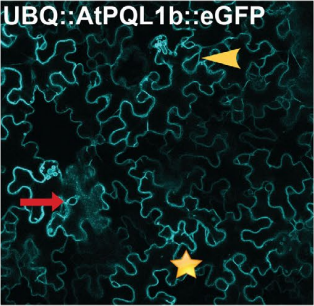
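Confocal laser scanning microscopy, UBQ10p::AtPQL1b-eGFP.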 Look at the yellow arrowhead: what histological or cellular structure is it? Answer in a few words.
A: Transvacuolar strands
